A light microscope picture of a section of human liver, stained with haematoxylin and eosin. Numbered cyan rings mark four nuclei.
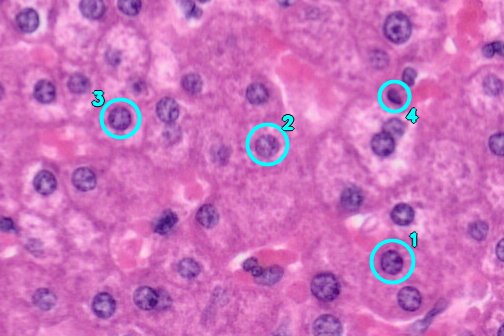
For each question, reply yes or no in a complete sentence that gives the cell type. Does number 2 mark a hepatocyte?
Yes, the cell labelled with number 2 is a hepatocyte.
